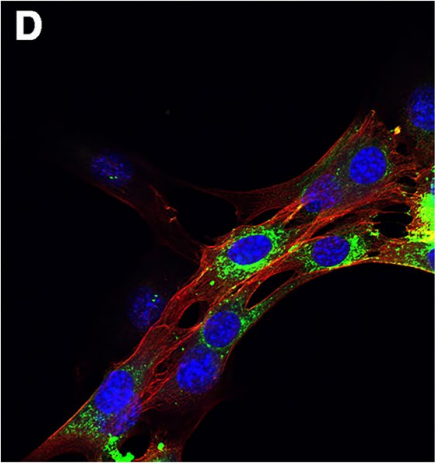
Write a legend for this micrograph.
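Elongated, spindle-shaped cultured cells lie side by side, each with an oval blue nucleus. Red filaments run as parallel bundles along the long axis of the cells and outline their margins. In several cells the cytoplasm around the nucleus holds many small green granules, concentrated close to the nucleus and thinning toward the cell ends, while some neighbouring cells contain few or none. A brighter green patch lies at the cell edge on the right, and green spots also gather at the lower margin of the group.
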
